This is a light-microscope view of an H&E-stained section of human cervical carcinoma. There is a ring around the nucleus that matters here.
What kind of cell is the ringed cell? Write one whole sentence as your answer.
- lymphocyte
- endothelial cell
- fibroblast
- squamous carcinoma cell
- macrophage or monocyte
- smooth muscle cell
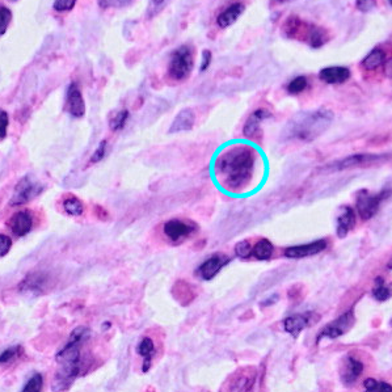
Typologically, the ringed cell is a macrophage or monocyte in this section.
